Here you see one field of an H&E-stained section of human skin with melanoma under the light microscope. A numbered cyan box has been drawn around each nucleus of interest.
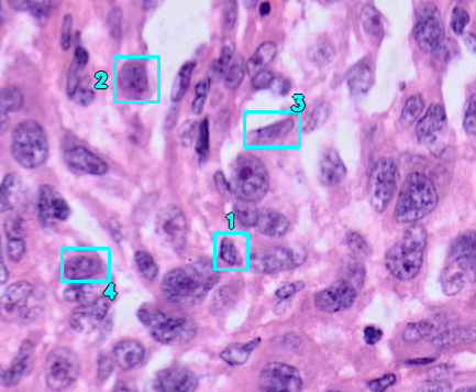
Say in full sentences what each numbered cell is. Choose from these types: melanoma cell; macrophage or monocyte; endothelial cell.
Cell 1 is a macrophage or monocyte, cell 2 is a melanoma cell, cell 3 is a melanoma cell and cell 4 is a melanoma cell.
